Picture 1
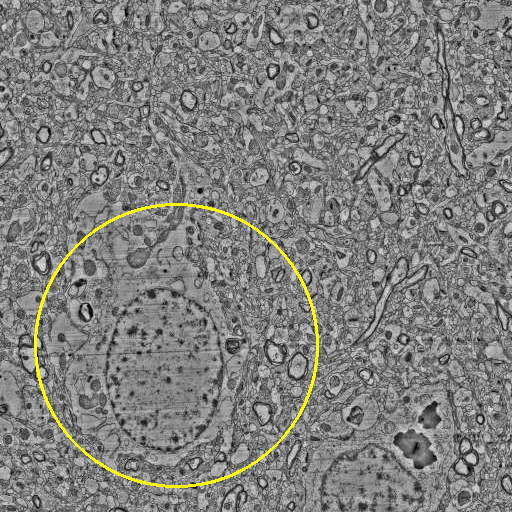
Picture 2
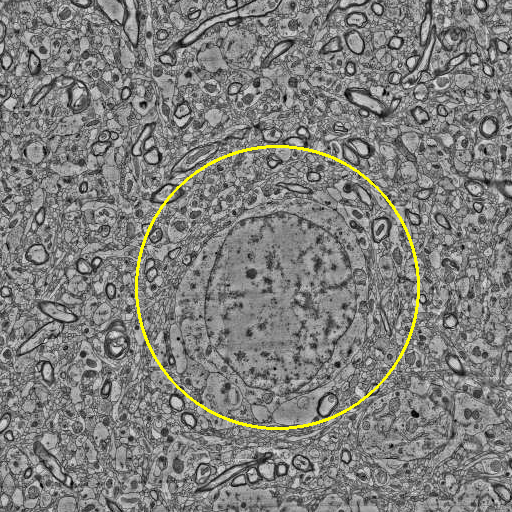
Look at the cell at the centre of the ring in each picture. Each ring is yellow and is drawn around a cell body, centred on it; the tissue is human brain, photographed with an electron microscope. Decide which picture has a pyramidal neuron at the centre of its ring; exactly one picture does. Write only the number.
2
